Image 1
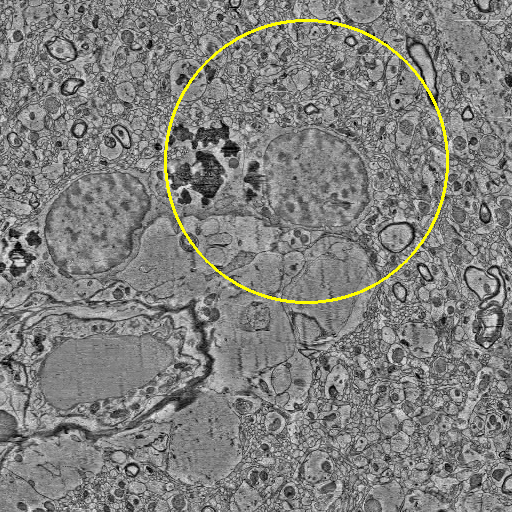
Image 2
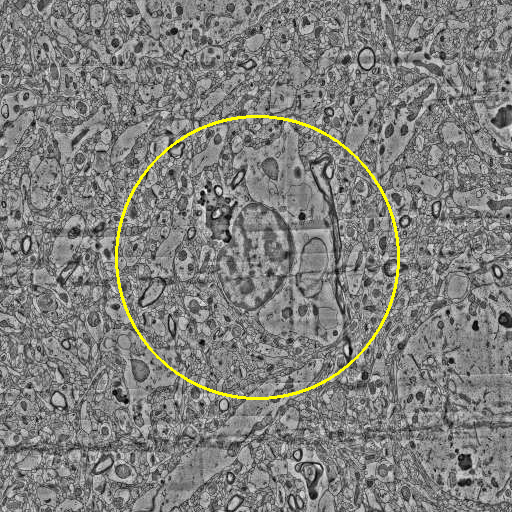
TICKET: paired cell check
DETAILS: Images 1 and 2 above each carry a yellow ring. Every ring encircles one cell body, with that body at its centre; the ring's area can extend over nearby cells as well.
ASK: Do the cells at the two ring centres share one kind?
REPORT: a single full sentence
No, the ring-centre cells of Images 1 and 2 belong to two kinds.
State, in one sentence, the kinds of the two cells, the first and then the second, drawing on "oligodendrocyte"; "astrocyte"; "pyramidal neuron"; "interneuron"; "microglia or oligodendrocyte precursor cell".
The ring in the second picture is centred on a microglial cell or oligodendrocyte precursor cell, the ring in the first on an oligodendrocyte.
